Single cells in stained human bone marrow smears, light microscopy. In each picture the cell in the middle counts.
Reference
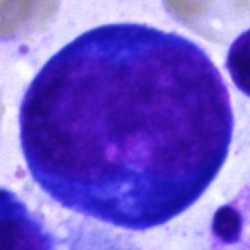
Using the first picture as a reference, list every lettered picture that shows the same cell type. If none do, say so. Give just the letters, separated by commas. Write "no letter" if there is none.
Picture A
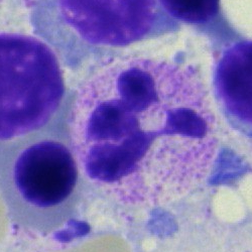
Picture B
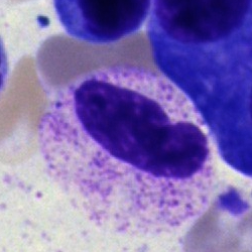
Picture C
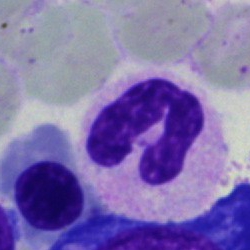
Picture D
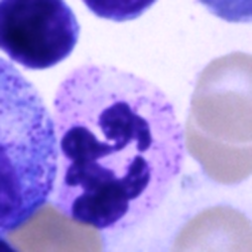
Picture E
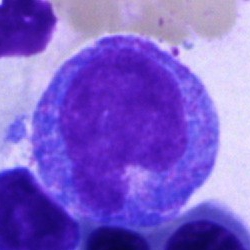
no letter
